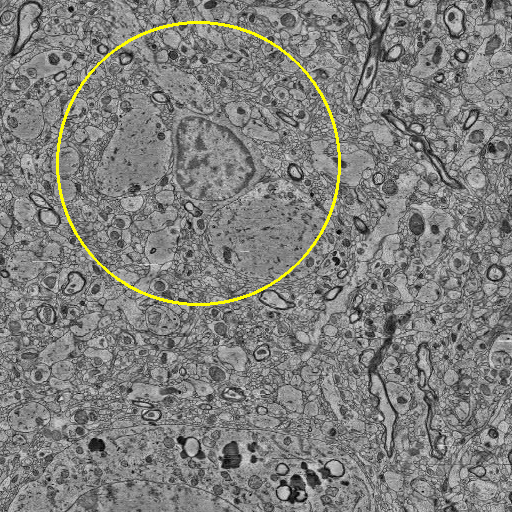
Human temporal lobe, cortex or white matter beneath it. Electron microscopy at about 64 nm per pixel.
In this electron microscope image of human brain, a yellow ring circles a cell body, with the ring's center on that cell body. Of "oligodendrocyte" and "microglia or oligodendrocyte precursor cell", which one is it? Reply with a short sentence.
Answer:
It is an oligodendrocyte at the center of the ring.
